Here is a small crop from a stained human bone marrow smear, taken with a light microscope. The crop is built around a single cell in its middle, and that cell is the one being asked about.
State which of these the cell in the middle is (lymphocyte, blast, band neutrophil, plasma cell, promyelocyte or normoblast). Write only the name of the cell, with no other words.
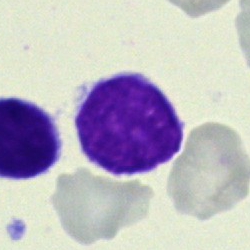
lymphocyte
